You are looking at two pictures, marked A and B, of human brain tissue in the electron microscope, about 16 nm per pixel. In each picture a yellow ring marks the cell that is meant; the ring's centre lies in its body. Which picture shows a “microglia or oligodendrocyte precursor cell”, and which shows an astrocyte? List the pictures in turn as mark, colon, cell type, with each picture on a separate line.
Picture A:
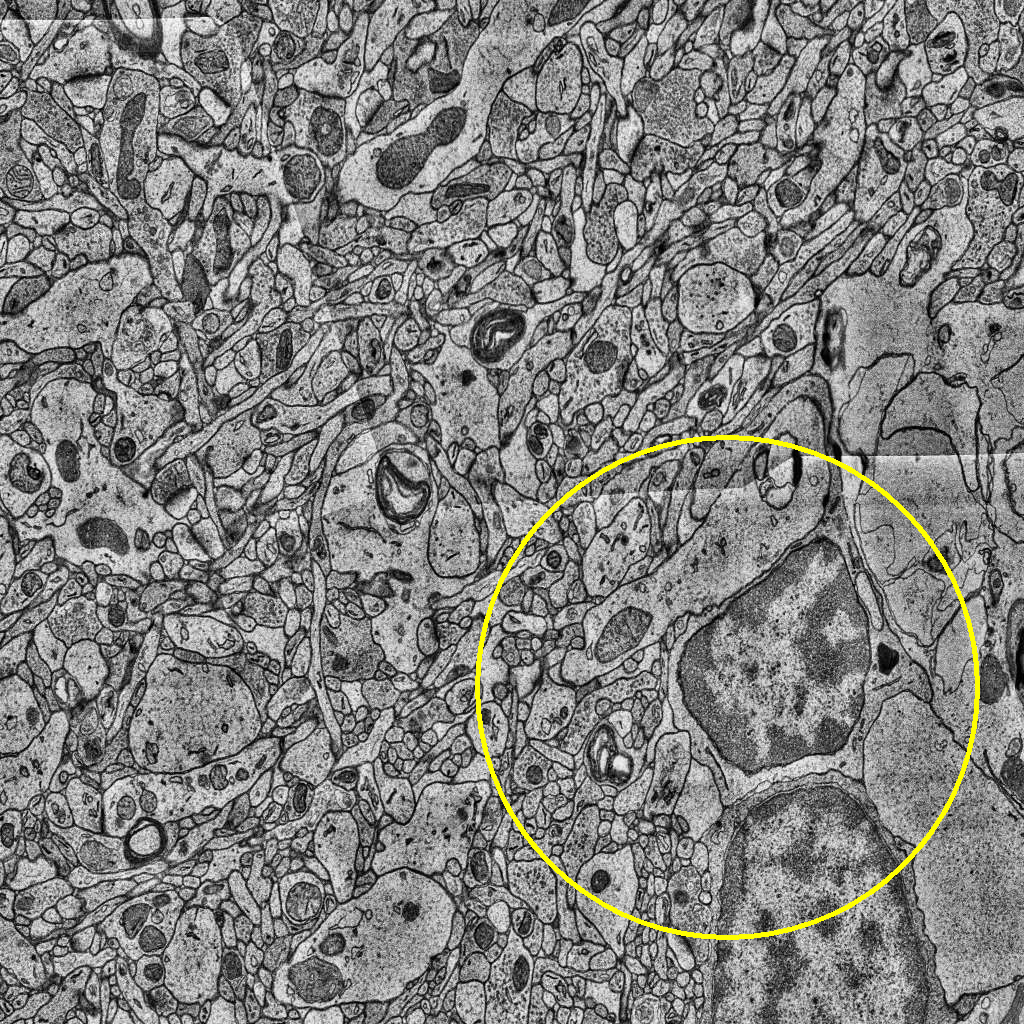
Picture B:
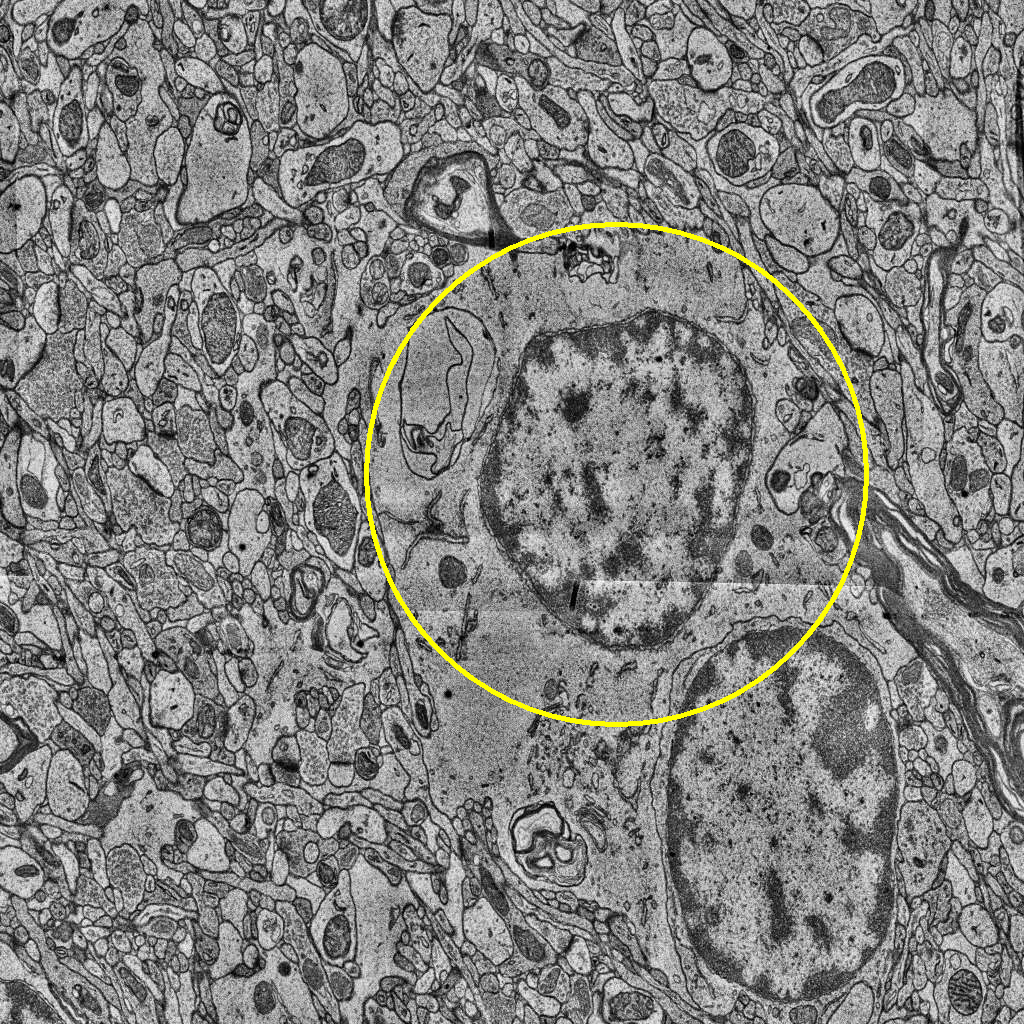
A: microglia or oligodendrocyte precursor cell
B: astrocyte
